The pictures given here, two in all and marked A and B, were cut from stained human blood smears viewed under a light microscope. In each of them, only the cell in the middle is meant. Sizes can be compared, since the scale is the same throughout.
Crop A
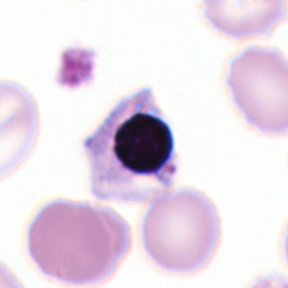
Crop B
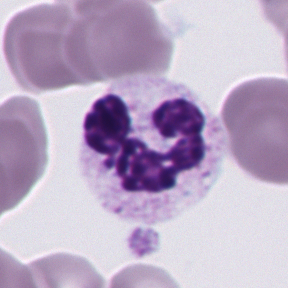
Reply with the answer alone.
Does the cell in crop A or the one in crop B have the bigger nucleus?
B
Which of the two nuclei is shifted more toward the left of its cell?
B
